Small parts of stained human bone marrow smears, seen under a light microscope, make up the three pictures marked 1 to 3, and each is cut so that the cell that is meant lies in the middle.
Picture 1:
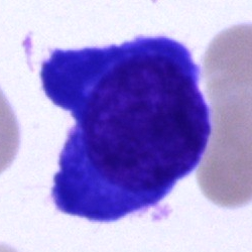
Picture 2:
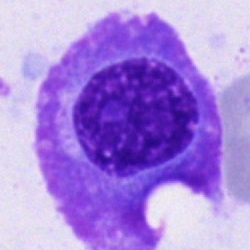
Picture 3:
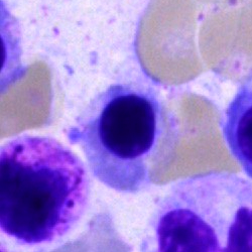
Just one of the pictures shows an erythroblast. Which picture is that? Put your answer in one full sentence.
Picture 3 is the one that shows the erythroblast.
